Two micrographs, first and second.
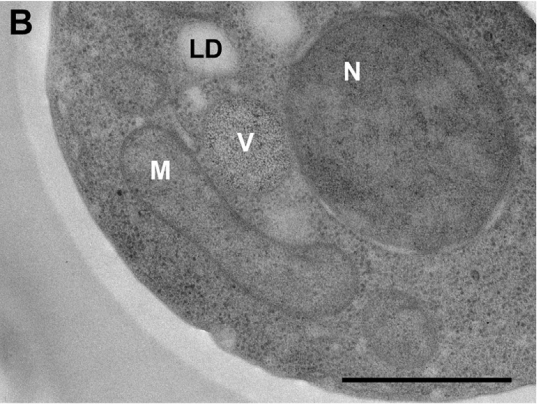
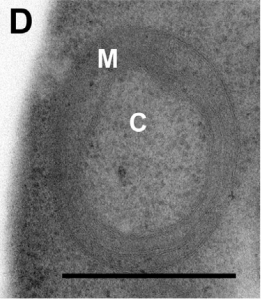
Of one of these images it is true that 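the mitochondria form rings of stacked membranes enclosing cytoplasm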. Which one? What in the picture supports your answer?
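The second image. Second image: a mitochondrion curls into a closed ring of many stacked membranes around granular cytoplasm. First image: mitochondria are elongated rods with a simple double-membrane outline.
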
